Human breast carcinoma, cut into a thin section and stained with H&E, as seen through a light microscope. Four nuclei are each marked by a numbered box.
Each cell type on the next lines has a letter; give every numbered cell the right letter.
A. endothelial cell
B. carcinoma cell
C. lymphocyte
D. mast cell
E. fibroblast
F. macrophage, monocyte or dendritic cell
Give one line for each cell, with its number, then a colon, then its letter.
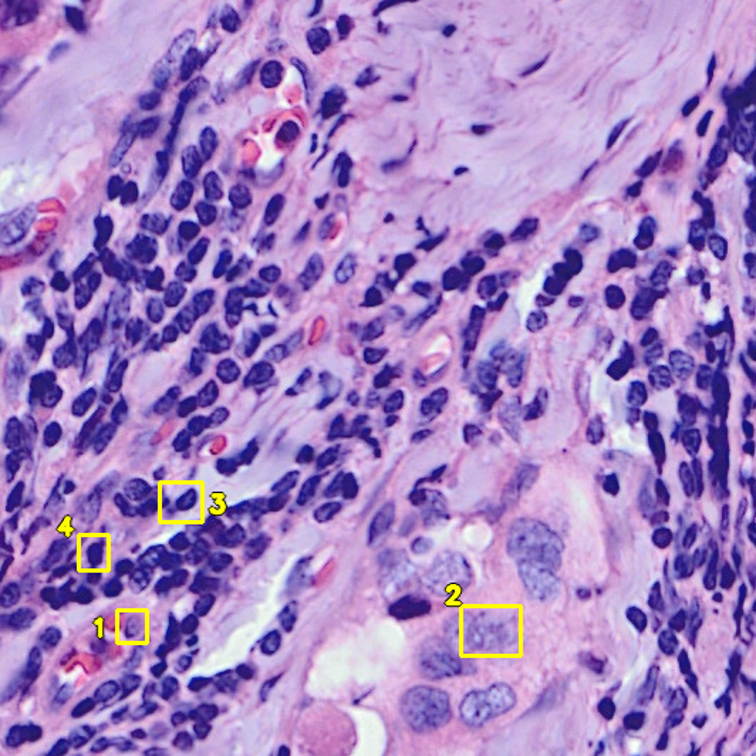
1: A
2: B
3: C
4: C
